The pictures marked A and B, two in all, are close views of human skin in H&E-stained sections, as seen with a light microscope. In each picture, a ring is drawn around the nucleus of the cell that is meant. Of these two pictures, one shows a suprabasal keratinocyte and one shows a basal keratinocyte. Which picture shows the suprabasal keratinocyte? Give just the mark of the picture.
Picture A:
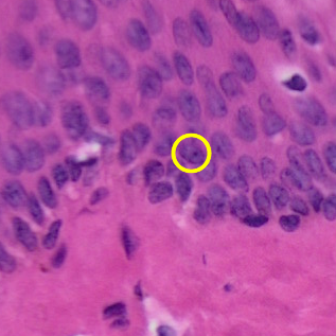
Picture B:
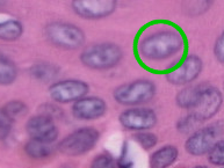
B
